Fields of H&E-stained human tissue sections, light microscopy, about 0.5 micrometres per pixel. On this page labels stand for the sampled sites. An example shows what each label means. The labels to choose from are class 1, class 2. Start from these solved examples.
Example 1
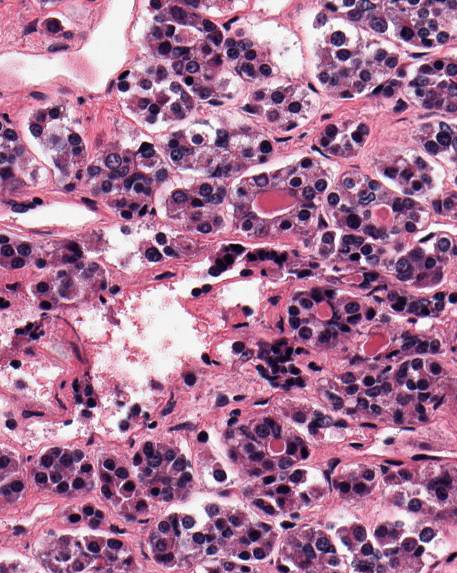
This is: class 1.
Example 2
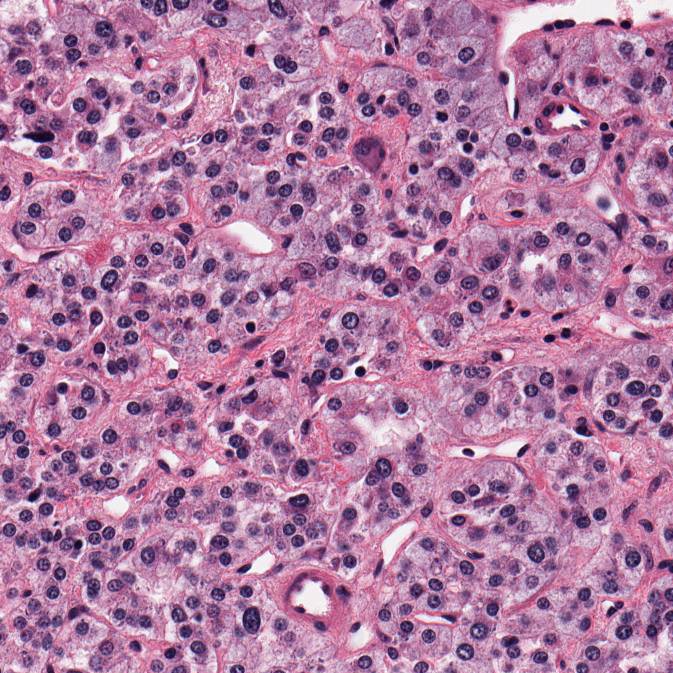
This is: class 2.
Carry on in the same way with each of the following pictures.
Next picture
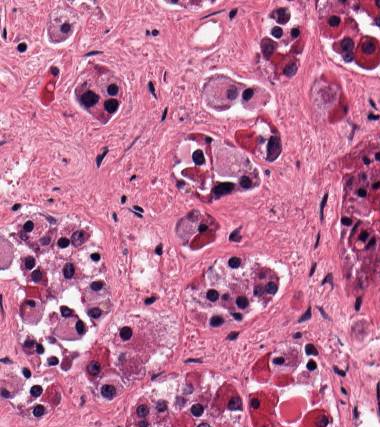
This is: class 1.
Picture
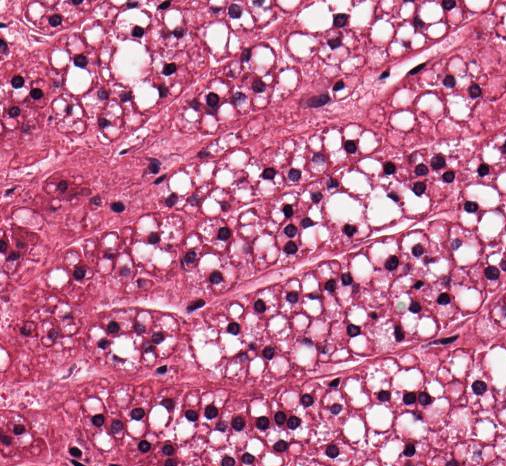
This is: class 2.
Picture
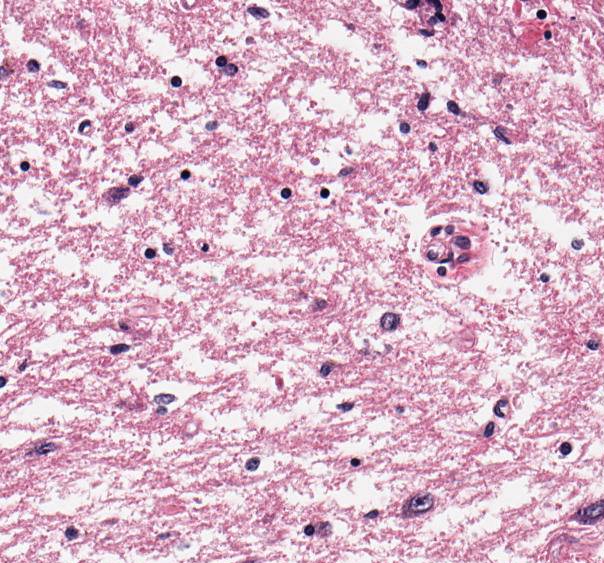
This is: class 1.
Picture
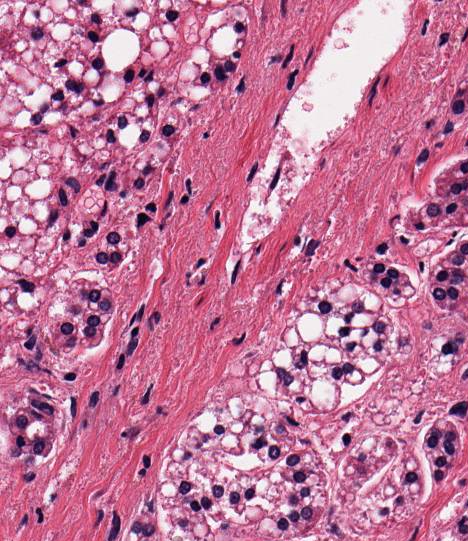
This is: class 2.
